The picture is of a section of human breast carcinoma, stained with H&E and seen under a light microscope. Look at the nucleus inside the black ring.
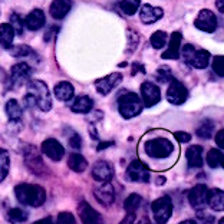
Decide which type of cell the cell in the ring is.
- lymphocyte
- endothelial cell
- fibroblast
lymphocyte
